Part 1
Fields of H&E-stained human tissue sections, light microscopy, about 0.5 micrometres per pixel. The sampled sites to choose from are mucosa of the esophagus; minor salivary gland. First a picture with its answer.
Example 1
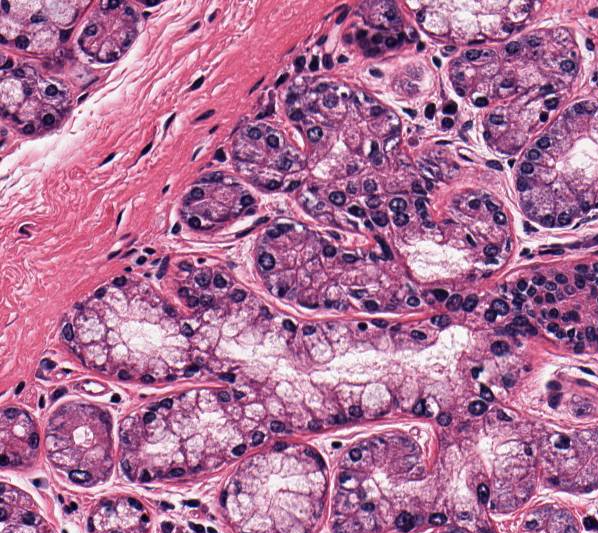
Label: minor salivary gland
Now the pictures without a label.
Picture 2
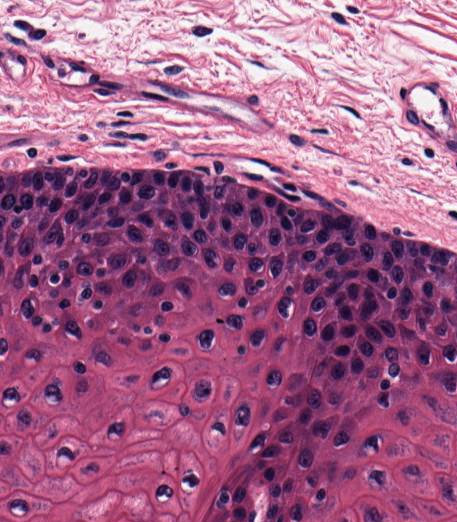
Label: mucosa of the esophagus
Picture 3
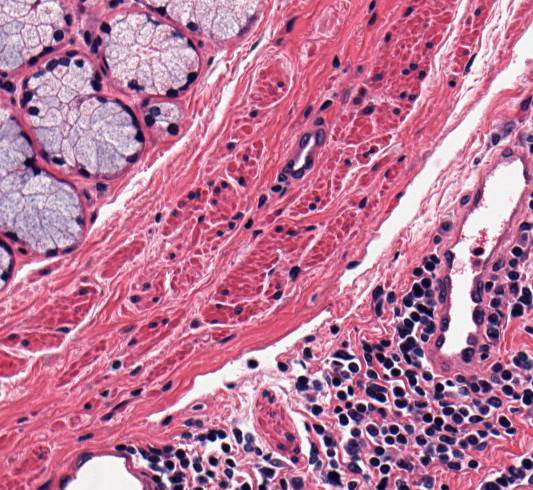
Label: mucosa of the esophagus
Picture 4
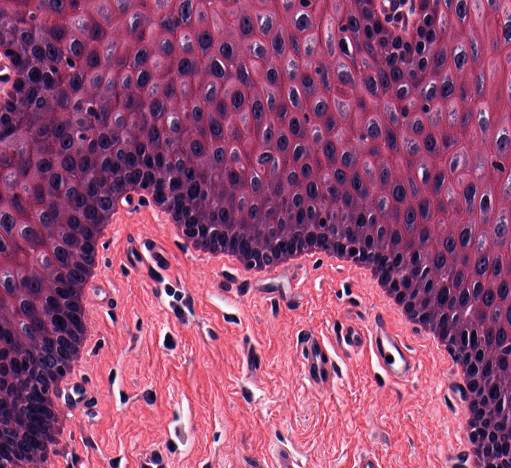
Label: mucosa of the esophagus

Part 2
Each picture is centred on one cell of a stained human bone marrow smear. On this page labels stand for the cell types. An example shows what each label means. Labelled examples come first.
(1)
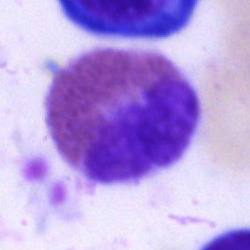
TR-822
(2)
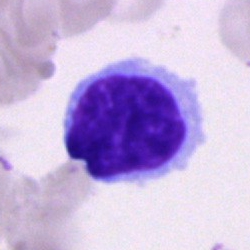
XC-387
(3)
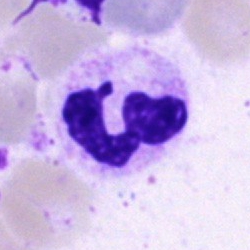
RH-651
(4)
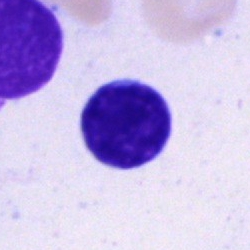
XC-387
